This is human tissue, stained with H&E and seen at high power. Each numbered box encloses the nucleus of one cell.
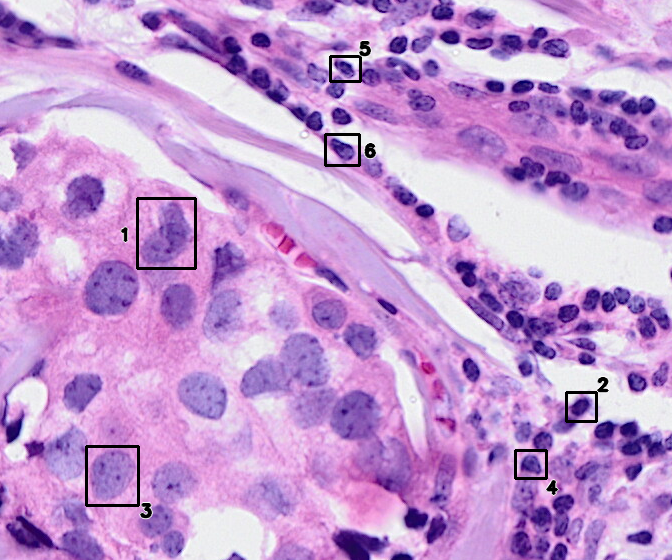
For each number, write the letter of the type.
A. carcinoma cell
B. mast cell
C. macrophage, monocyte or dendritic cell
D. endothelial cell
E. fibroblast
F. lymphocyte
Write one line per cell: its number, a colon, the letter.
1: A
2: F
3: A
4: F
5: F
6: F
